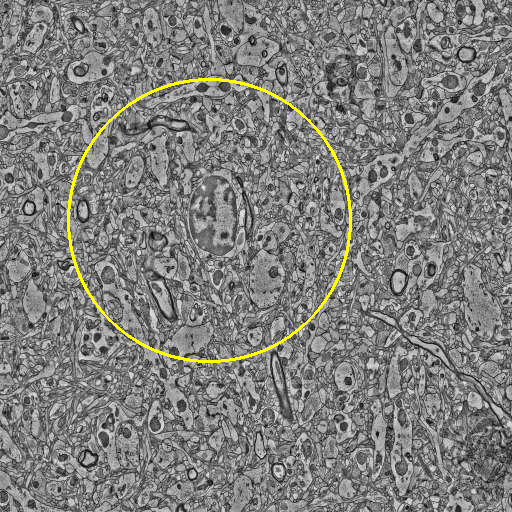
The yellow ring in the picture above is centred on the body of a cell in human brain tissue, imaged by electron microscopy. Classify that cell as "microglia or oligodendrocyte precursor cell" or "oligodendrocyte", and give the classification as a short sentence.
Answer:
The cell in the middle of the ring is a microglial cell or oligodendrocyte precursor cell.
